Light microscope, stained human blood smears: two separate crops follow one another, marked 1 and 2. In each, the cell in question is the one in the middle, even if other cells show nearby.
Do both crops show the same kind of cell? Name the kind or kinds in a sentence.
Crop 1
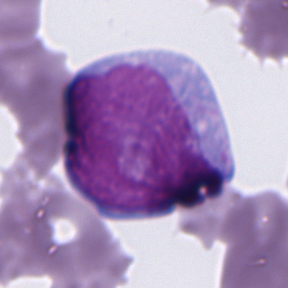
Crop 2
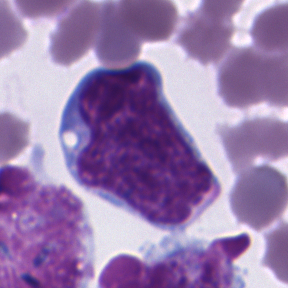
No, crop 1 is where a blast is shown, and crop 2 is where a monocyte is shown.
